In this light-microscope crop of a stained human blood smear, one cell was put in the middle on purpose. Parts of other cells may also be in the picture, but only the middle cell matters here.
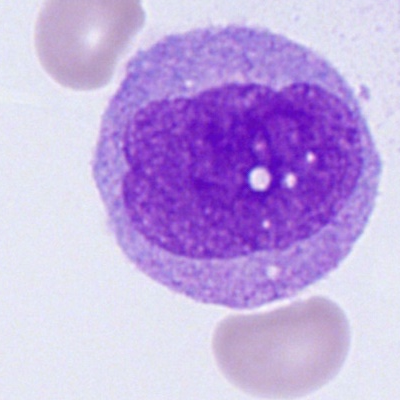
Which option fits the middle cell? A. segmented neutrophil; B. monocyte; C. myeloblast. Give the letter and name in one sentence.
Option C holds up: the cell in the middle is a myeloblast.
